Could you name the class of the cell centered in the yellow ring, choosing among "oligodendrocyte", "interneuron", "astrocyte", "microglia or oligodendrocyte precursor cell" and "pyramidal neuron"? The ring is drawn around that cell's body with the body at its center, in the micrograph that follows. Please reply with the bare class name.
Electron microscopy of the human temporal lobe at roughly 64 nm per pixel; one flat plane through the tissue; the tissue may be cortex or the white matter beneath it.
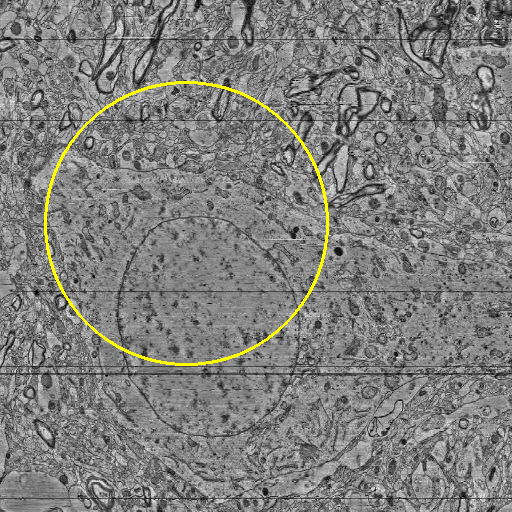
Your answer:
pyramidal neuron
